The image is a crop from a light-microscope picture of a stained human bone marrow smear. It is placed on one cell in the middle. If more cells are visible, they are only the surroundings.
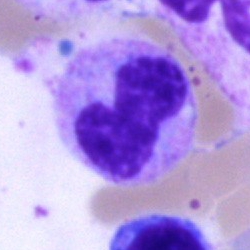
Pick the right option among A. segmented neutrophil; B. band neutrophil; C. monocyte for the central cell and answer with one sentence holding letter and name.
The central cell is a monocyte, which makes option C the right answer.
